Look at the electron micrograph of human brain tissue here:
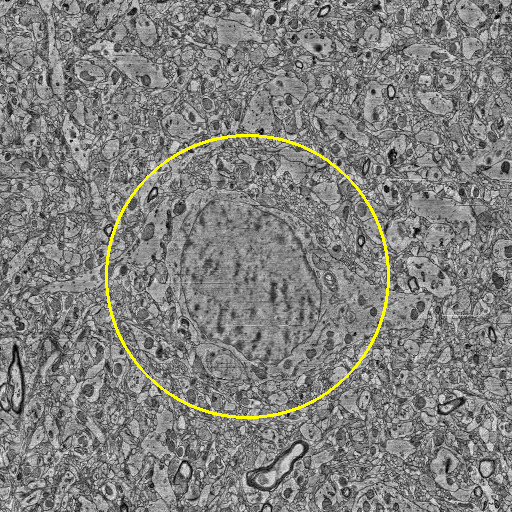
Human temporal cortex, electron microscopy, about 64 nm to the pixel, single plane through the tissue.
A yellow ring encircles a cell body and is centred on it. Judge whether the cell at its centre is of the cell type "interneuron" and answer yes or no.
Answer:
yes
